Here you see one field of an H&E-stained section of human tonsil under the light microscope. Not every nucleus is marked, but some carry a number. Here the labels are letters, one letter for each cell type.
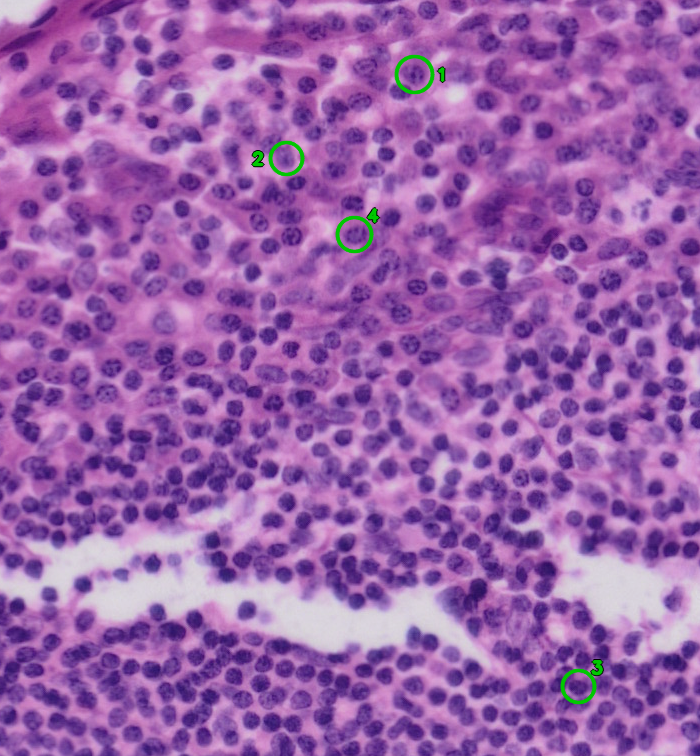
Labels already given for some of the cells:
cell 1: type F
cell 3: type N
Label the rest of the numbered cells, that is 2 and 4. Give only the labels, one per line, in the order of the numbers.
type F
type F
